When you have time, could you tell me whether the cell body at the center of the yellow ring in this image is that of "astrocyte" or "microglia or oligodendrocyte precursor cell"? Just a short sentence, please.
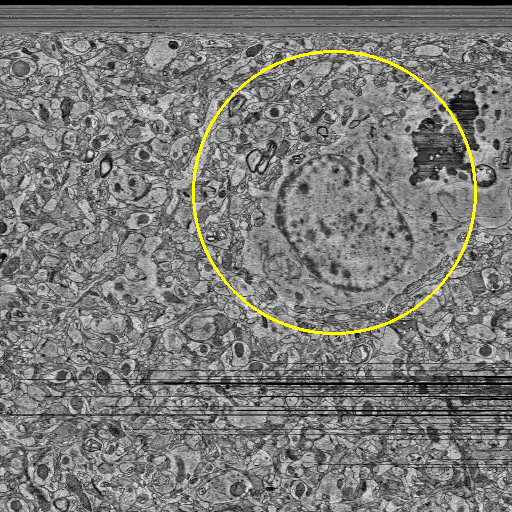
The cell body at the center of the ring is that of an astrocyte.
